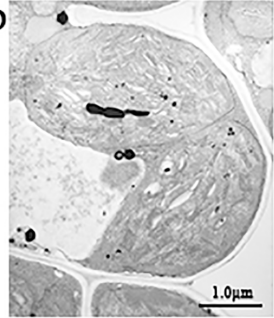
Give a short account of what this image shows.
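A mesophyll cell at high magnification, with one large chloroplast filling the upper part of the view. The chloroplast is lens-shaped and bounded by an envelope pressed close to the thin, pale cell wall. A few small dense dark bodies lie inside and at the edge of the plastid.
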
